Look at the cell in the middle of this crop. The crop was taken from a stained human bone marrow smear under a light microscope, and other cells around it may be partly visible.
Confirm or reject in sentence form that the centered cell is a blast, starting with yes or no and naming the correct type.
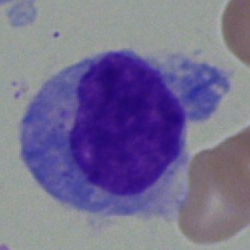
No, the middle cell is actually a monocyte rather than a blast.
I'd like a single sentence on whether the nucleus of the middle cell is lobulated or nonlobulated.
Round, oval or kidney-shaped, the nucleus is one compact mass.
